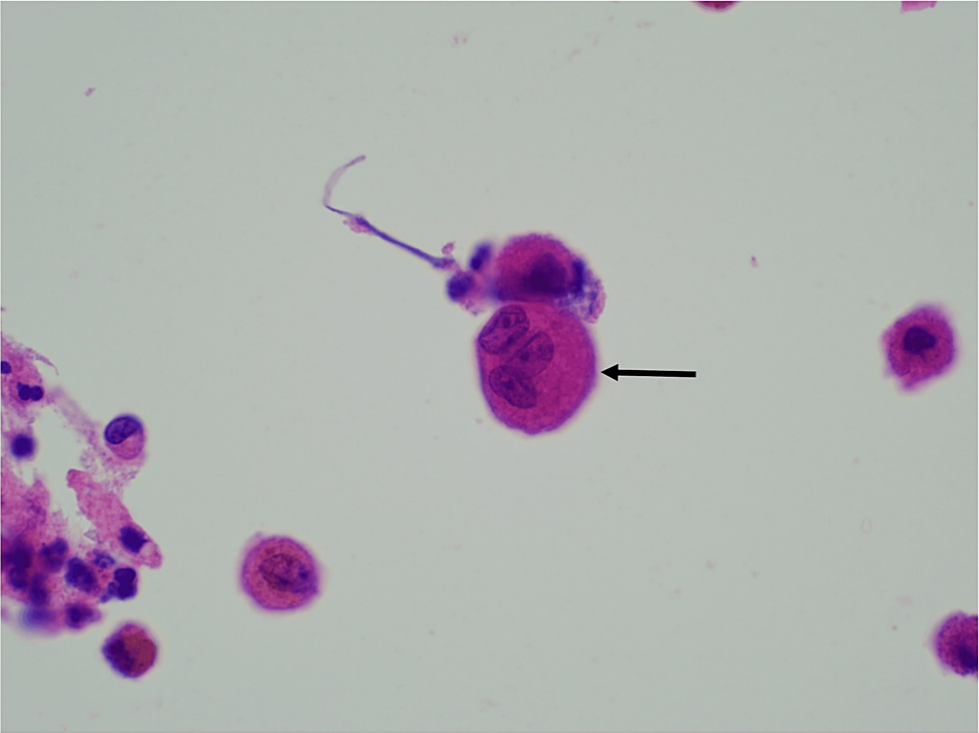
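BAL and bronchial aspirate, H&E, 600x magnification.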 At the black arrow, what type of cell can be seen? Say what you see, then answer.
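The marked cell is much larger than the surrounding cells. It contains three or more oval nuclei clustered together. It has abundant pink cytoplasm. The answer: multinucleated giant cells.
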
